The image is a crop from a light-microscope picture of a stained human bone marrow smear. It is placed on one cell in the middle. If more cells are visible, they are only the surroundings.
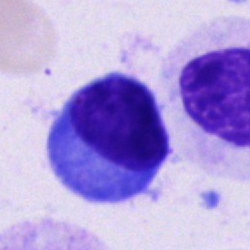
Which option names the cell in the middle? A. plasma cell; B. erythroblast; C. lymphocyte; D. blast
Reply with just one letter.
A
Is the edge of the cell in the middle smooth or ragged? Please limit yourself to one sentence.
You can see a smooth boundary, with no projections sticking out.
